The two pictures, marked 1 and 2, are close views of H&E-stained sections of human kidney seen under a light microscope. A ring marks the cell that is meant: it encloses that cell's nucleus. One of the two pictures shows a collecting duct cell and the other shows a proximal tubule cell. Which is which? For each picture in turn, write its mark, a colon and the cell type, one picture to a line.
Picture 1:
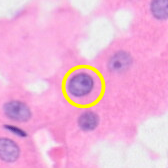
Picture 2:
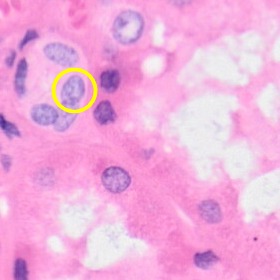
1: proximal tubule cell
2: collecting duct cell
